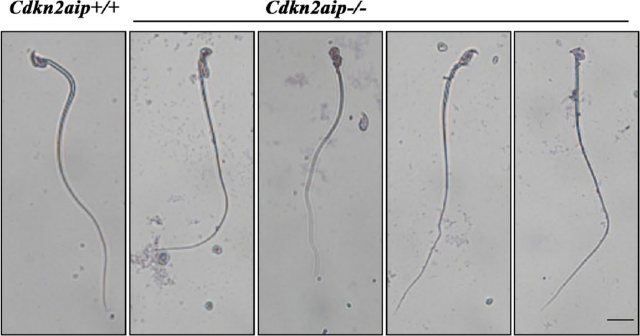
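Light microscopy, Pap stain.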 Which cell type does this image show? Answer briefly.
Sperm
